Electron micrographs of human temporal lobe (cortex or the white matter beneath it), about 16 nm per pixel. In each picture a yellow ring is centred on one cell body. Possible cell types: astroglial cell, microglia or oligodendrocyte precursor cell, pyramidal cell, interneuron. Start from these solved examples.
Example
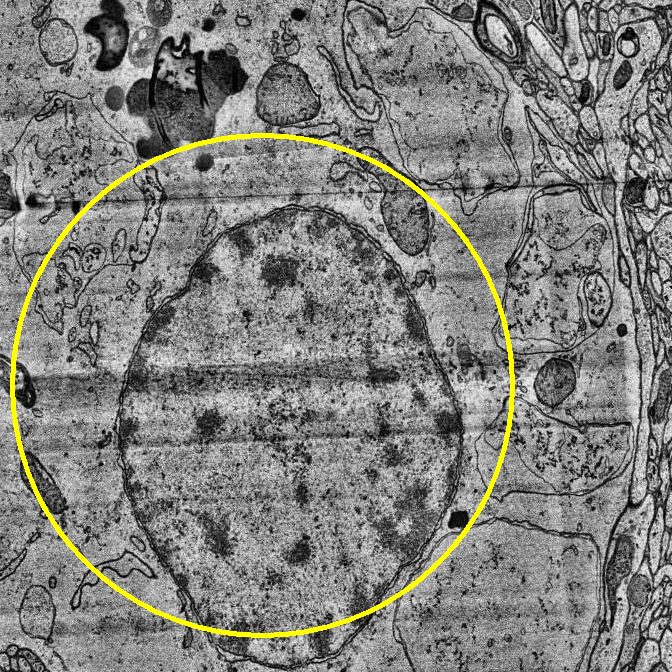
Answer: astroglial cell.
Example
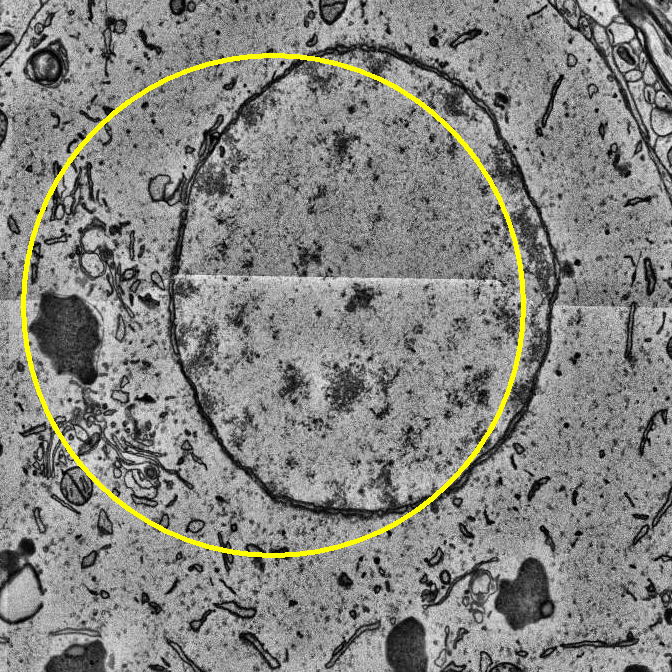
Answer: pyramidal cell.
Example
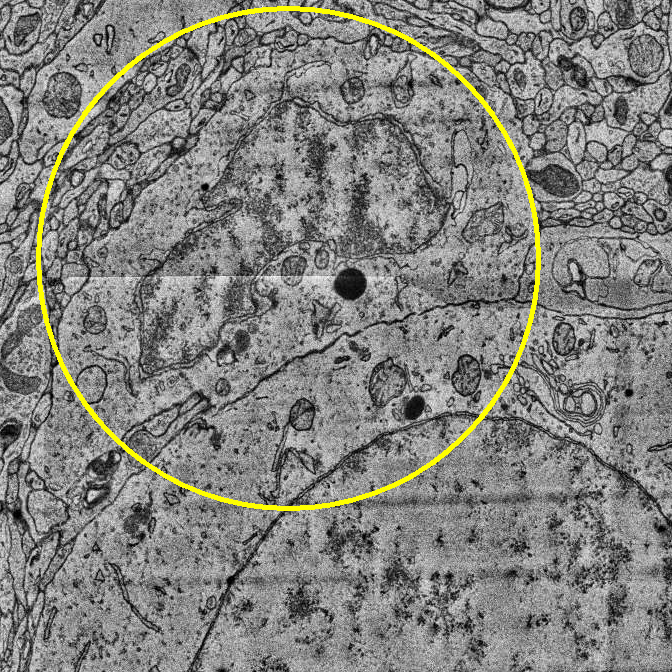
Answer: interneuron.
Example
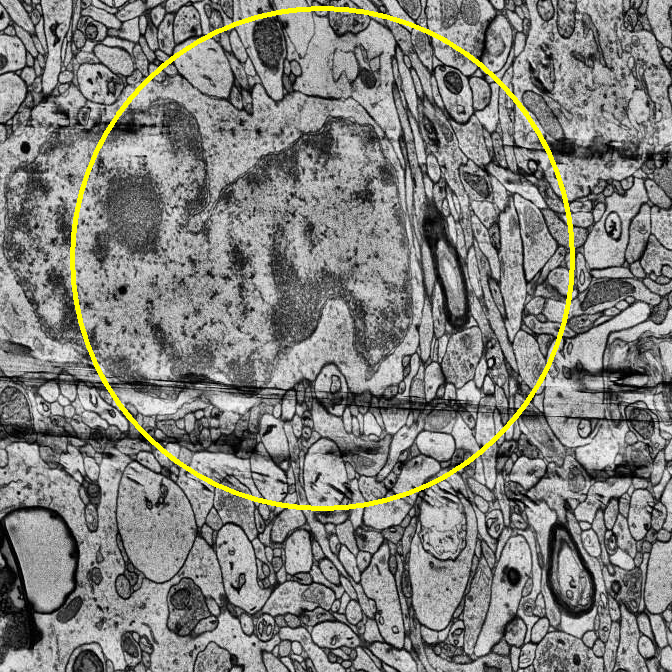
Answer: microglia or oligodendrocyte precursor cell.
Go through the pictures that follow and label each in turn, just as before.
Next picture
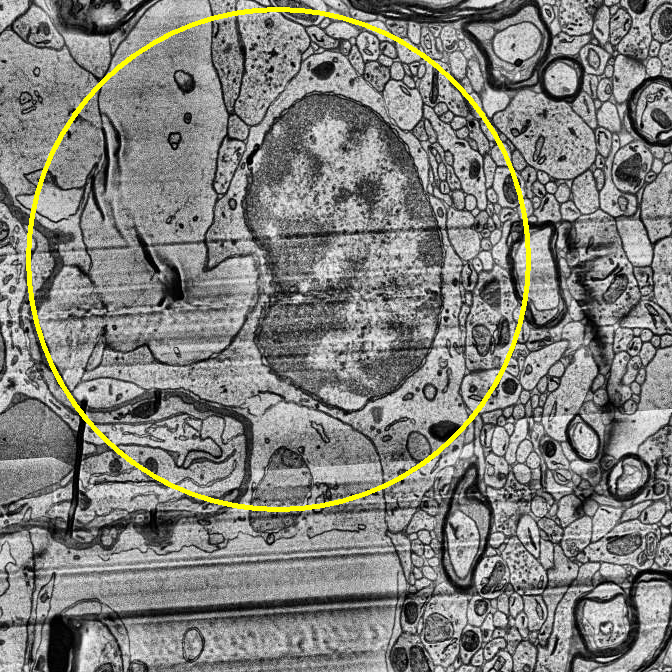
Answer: microglia or oligodendrocyte precursor cell.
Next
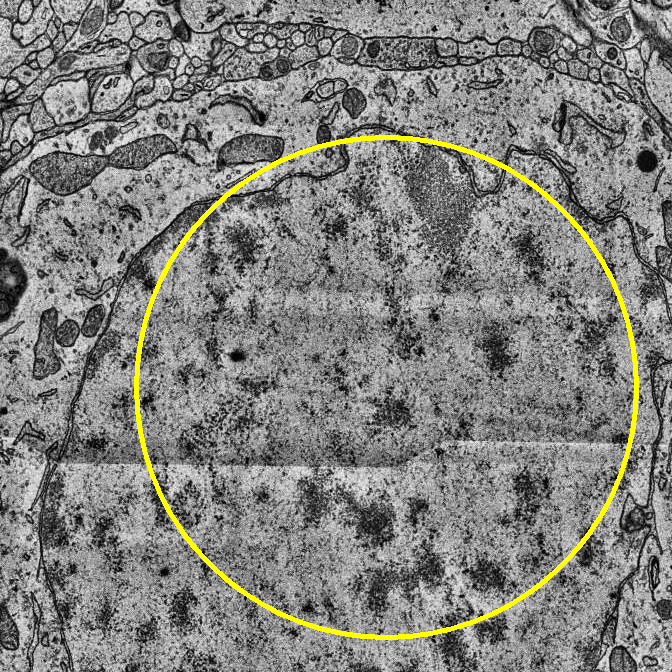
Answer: interneuron.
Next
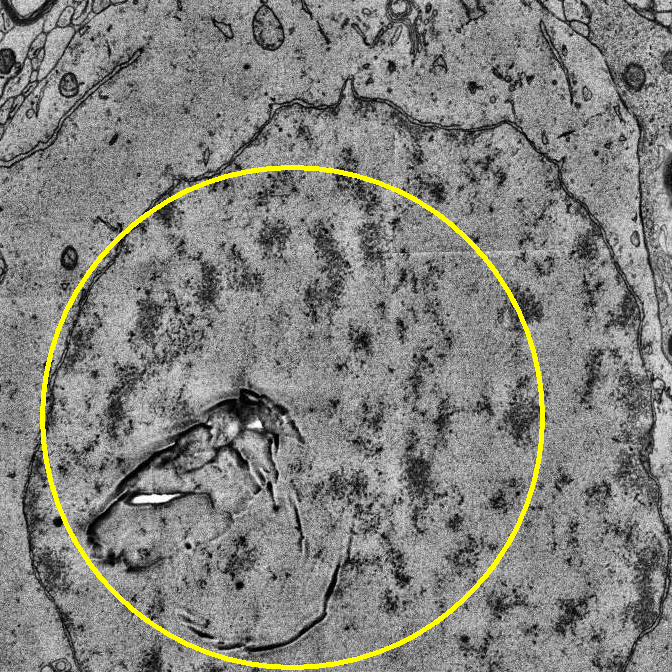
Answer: interneuron.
